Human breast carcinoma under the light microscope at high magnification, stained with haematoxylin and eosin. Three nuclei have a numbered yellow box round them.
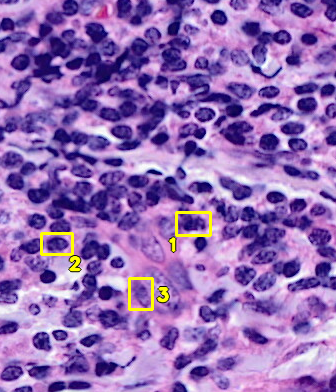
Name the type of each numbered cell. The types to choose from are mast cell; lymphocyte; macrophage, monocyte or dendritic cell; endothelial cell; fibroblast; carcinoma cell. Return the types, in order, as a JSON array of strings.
["lymphocyte", "lymphocyte", "endothelial cell"]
